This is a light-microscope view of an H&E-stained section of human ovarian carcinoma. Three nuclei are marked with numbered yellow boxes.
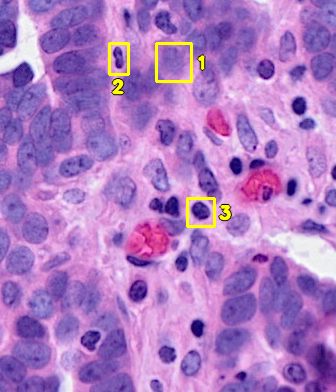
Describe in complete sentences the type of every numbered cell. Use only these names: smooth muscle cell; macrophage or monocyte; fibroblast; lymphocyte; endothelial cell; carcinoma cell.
Cell 1 is a carcinoma cell. Cells 2 and 3 are lymphocytes.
